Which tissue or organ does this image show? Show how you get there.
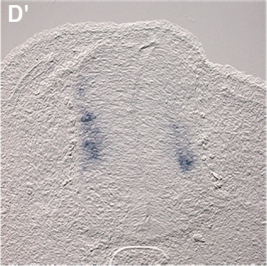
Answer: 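Neural tubes. A tubular structure with a narrow, slit-like central lumen in the midline. A thick wall on either side of the lumen, surrounded by looser tissue. A small round structure lies just below the tube.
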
